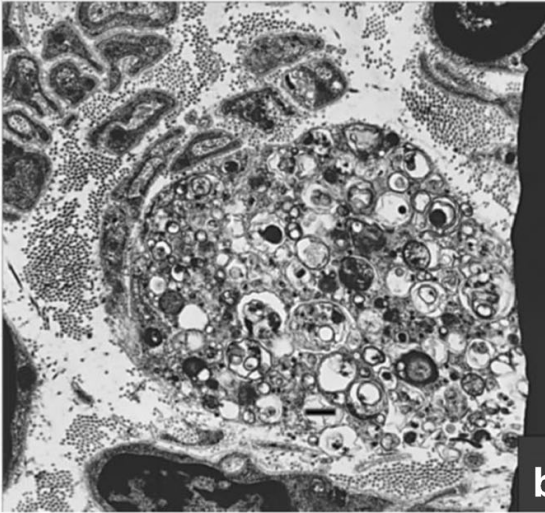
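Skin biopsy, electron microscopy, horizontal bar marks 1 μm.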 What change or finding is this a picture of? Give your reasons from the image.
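The round profile is packed with many bodies of varied shape and density. Some bodies show concentric membrane layers, some are dark, others pale. The answer: polymorphous membranous cytoplasmic bodies.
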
